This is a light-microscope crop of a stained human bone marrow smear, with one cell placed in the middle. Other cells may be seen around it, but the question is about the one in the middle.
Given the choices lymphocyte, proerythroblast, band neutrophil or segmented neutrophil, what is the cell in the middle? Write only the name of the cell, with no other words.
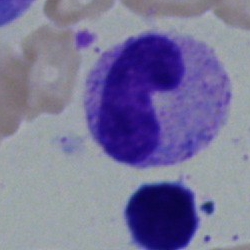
band neutrophil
